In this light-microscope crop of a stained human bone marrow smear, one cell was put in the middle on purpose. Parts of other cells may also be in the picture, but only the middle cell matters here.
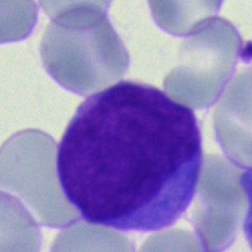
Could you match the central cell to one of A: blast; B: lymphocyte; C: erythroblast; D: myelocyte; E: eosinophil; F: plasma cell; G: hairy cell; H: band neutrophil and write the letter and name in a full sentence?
The centered cell is a blast, which is why option A is right.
